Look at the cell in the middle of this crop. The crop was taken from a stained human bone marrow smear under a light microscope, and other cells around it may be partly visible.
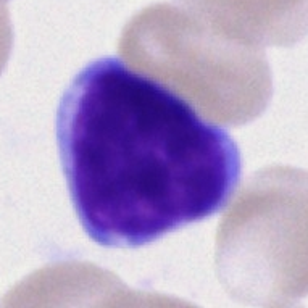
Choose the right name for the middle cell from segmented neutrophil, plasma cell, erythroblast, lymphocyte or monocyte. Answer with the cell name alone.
lymphocyte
